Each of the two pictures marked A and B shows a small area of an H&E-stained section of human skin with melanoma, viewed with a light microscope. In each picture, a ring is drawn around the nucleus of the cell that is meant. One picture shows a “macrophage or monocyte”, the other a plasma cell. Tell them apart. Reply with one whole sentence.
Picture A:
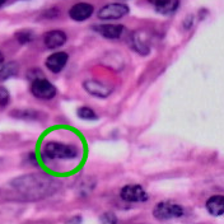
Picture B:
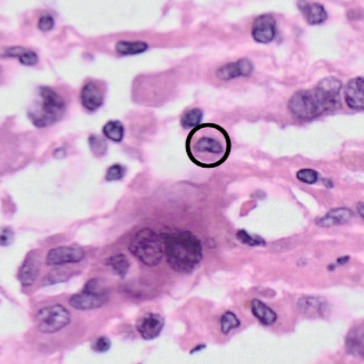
The cell in picture A is a plasma cell, and the one in picture B is a “macrophage or monocyte”.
